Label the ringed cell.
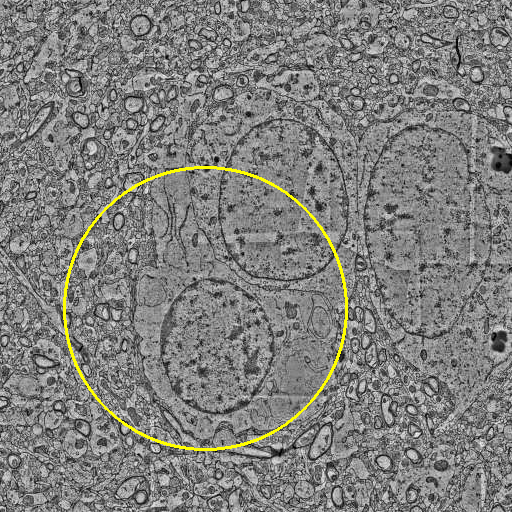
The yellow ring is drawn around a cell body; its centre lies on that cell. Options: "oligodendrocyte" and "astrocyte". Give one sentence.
The ringed cell is an astrocyte.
